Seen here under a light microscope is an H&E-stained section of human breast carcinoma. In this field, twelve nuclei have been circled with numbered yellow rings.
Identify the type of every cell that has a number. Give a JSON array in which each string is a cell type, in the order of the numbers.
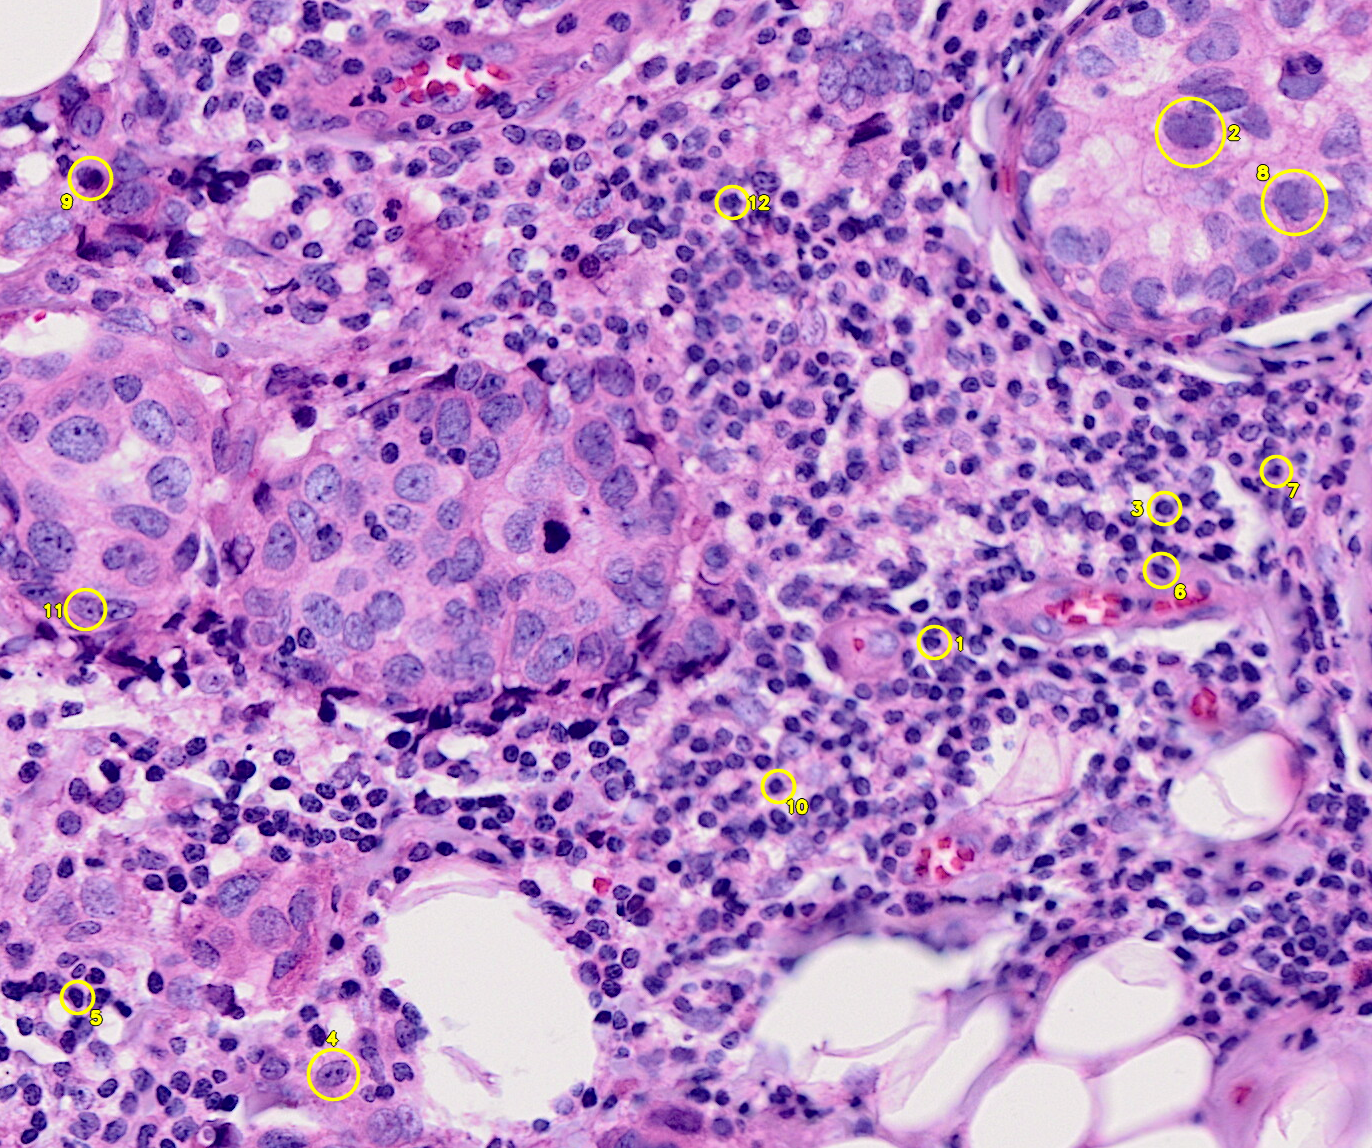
["lymphocyte", "carcinoma cell", "lymphocyte", "macrophage, monocyte or dendritic cell", "lymphocyte", "lymphocyte", "lymphocyte", "carcinoma cell", "carcinoma cell", "lymphocyte", "carcinoma cell", "lymphocyte"]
